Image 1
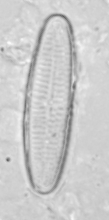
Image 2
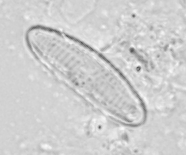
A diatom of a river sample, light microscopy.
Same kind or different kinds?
Same: Achnanthidium.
